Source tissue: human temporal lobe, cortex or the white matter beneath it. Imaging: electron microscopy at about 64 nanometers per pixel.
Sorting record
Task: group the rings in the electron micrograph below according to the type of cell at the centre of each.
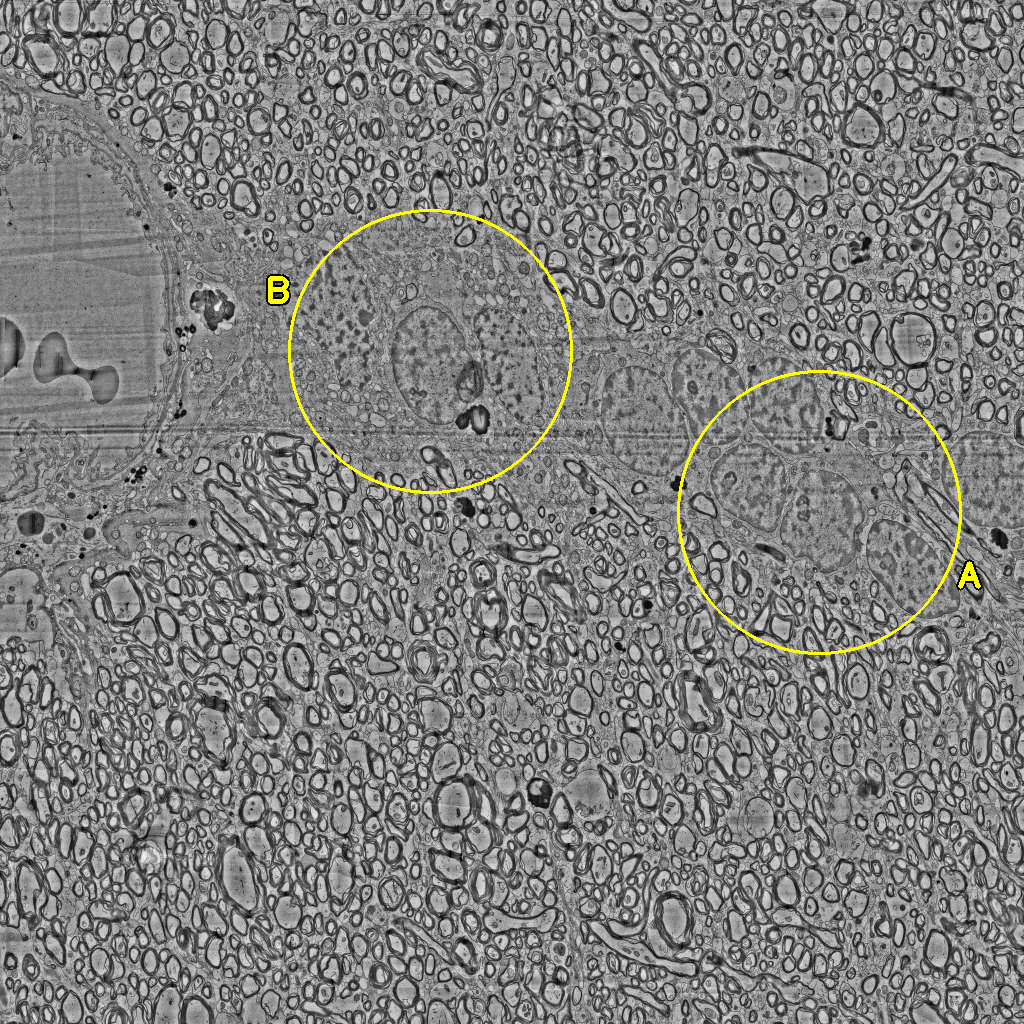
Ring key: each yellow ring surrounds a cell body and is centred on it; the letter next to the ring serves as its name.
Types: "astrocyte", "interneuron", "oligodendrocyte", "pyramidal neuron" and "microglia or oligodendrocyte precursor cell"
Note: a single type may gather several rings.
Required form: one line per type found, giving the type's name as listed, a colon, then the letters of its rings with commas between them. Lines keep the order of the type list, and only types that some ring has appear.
oligodendrocyte: A, B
